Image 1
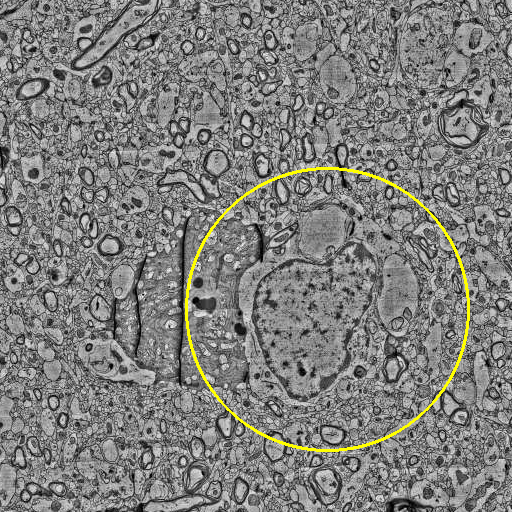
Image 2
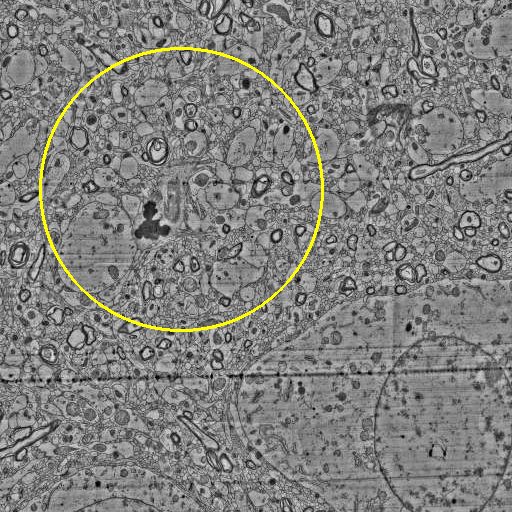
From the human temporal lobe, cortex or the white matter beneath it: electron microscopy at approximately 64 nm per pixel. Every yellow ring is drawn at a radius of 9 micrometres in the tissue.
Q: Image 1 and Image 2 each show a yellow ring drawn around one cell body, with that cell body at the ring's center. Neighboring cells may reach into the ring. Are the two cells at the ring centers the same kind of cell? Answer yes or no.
no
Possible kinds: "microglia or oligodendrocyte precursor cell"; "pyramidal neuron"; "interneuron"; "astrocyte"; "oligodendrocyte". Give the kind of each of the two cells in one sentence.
The cell in the second picture is an oligodendrocyte, and that in the first is a microglial cell or oligodendrocyte precursor cell.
